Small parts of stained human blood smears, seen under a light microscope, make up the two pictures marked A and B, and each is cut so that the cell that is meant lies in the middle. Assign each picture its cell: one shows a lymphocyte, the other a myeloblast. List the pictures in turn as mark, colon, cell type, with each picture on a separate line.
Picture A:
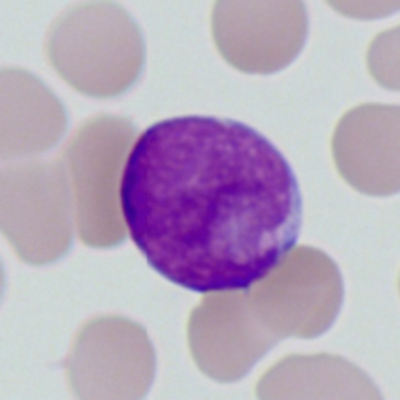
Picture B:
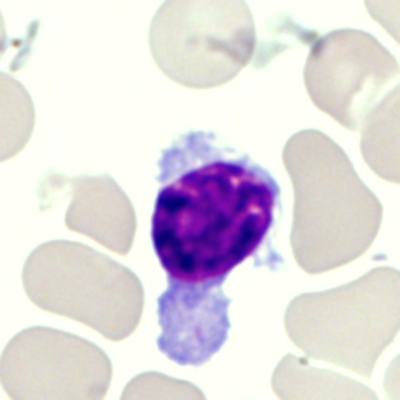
A: myeloblast
B: lymphocyte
